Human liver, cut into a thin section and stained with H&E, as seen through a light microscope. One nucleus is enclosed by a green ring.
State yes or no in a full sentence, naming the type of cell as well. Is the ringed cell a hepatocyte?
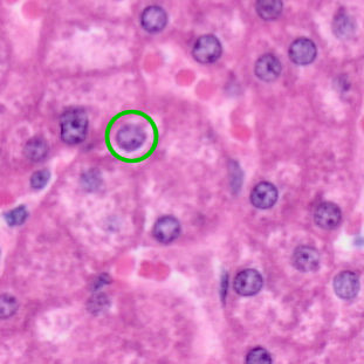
Yes, a hepatocyte is the correct identification for the ringed cell.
